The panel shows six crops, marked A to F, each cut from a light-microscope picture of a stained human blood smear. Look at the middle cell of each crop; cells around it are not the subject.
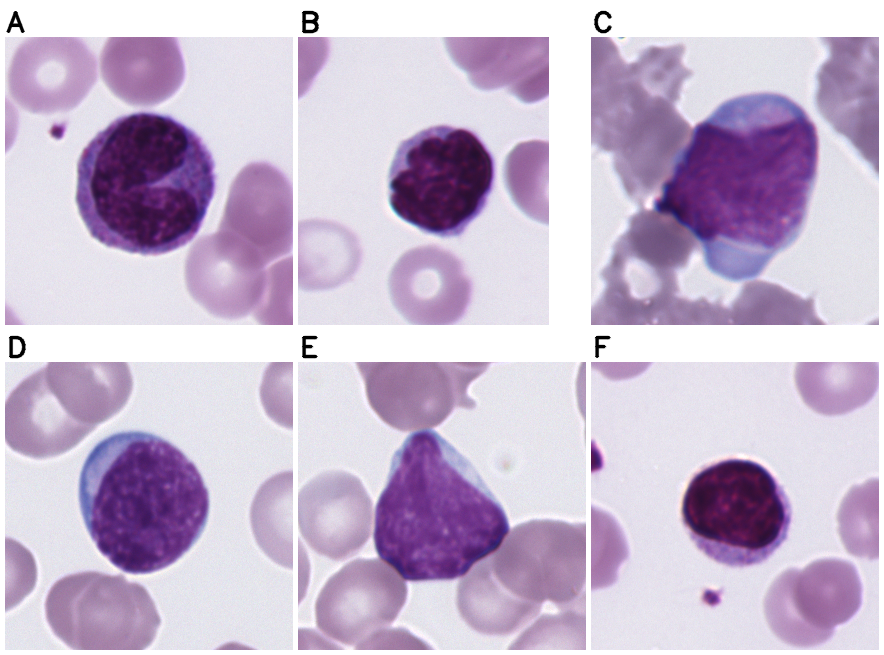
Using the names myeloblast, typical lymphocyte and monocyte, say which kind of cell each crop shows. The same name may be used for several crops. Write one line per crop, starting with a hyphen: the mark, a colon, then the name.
- A: monocyte
- B: typical lymphocyte
- C: myeloblast
- D: myeloblast
- E: myeloblast
- F: typical lymphocyte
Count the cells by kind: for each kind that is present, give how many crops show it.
myeloblast: 3
typical lymphocyte: 2
monocyte: 1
